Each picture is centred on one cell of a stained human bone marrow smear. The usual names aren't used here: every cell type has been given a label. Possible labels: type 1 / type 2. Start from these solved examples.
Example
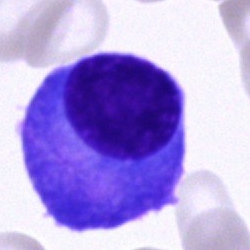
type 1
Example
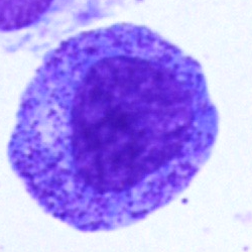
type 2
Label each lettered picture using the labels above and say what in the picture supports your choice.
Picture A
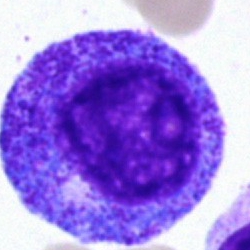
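type 2. Evidence: The cytoplasm is densely filled with purple granules.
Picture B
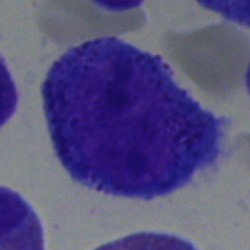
type 2. Evidence: Dense dark purple granules fill the whole cell from edge to edge.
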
